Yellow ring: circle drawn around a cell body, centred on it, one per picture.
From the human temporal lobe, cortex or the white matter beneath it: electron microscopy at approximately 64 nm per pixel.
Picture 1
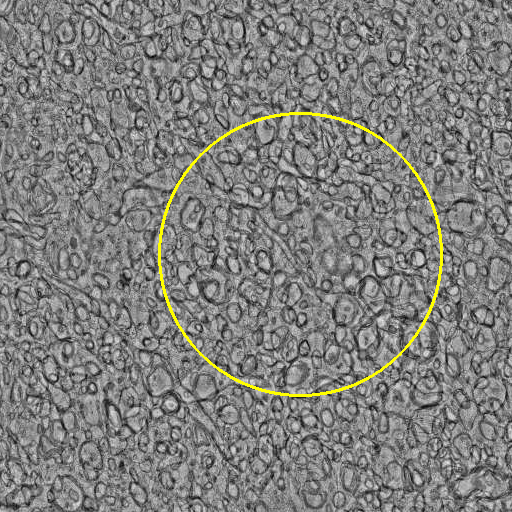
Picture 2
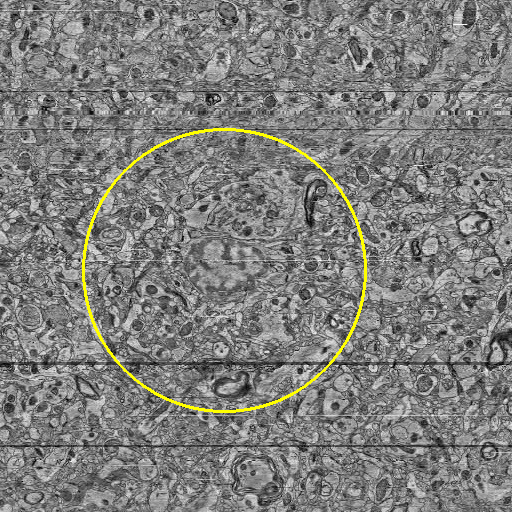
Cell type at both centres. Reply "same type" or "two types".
same type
